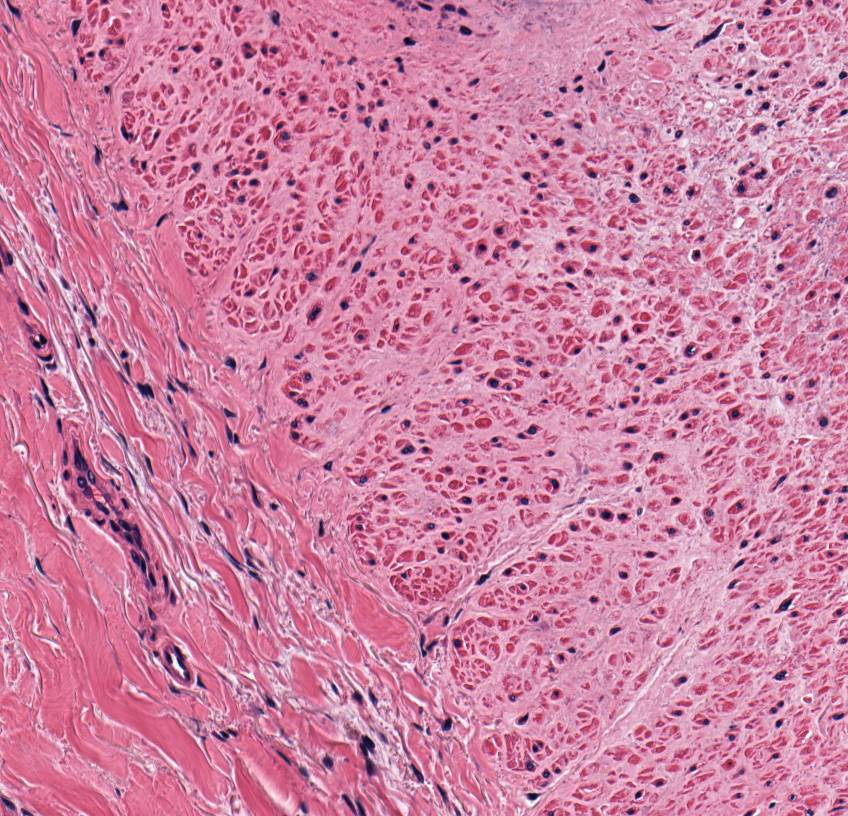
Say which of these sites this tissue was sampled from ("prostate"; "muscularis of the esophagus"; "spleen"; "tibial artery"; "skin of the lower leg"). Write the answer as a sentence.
The site this tissue was sampled from is the tibial artery.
